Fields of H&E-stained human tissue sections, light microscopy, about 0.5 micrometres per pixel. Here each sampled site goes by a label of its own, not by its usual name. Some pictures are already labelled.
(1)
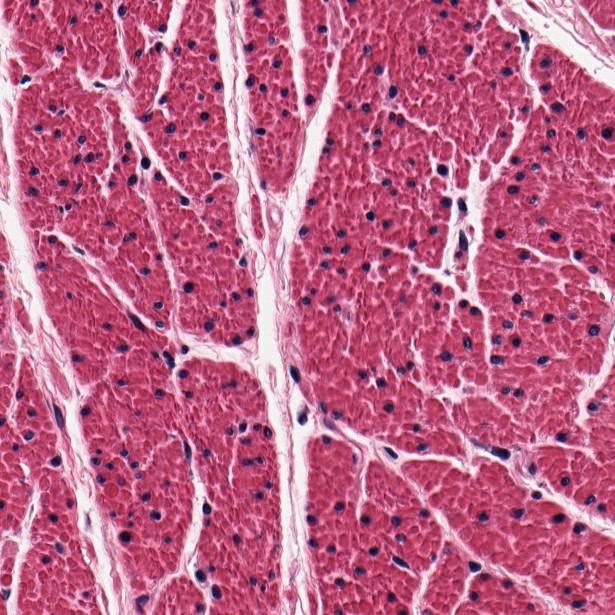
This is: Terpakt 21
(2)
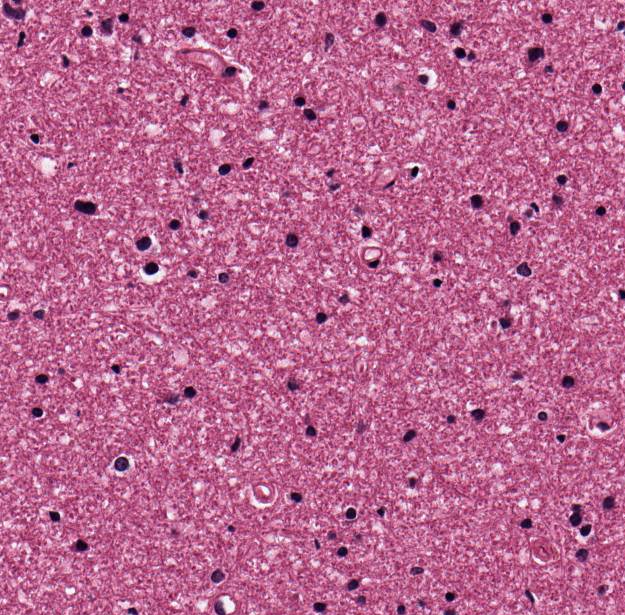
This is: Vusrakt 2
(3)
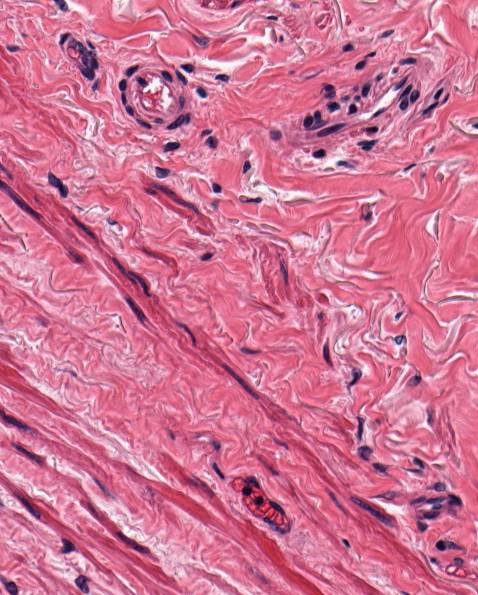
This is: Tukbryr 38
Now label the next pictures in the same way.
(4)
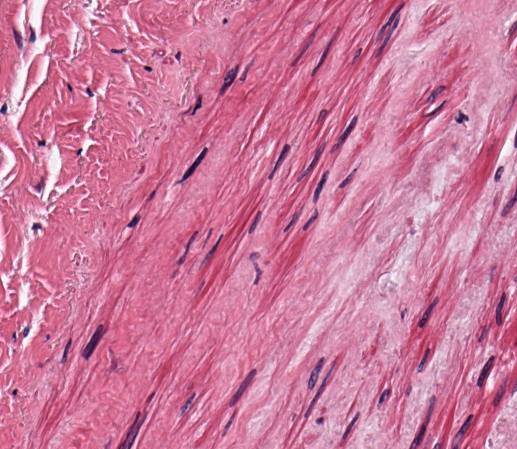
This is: Tukbryr 38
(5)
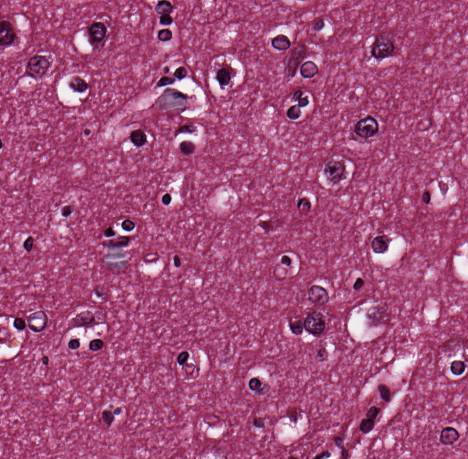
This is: Vusrakt 2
